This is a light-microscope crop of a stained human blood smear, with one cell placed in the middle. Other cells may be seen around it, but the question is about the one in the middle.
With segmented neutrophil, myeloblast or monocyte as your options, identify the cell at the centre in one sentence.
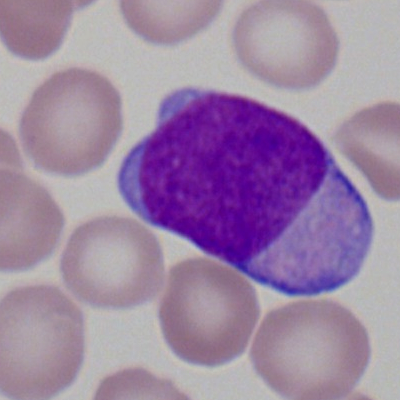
Where the crop is centred, there is a myeloblast.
